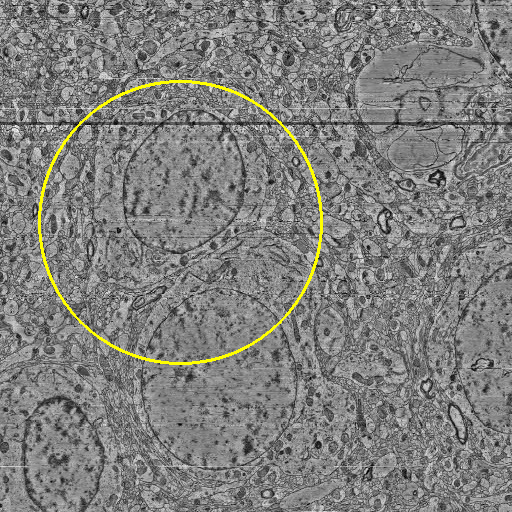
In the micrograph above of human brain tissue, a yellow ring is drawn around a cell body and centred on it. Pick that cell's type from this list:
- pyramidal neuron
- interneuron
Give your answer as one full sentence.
Going by the list, a pyramidal neuron is the cell on which the yellow ring is centred.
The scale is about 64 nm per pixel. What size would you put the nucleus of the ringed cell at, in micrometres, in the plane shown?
In this plane, the nucleus of the cell at the centre of the ring measures about 10 by 8 micrometres.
